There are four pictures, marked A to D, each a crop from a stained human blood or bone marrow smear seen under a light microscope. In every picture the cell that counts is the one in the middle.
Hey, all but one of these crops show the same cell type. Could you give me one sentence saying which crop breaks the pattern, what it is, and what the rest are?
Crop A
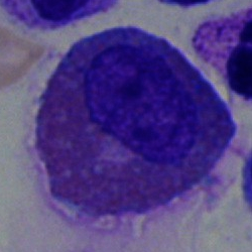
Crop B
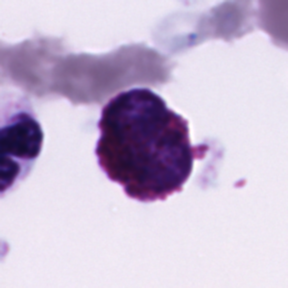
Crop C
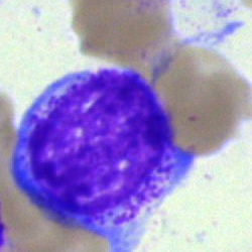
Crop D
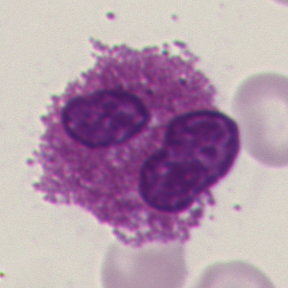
The rest of the crops show eosinophils; crop C is the one showing a promyelocyte.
